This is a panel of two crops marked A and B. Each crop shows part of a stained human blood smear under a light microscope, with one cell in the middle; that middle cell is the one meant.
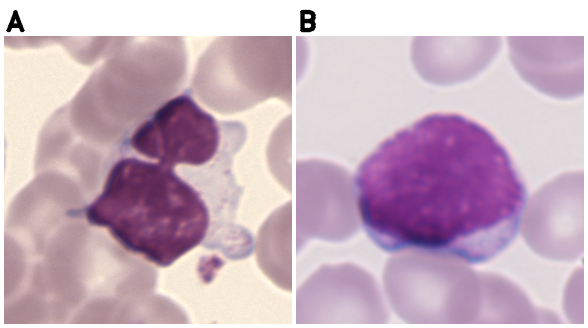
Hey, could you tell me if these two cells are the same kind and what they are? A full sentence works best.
Yes, both crops show large granular lymphocytes at their middles.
